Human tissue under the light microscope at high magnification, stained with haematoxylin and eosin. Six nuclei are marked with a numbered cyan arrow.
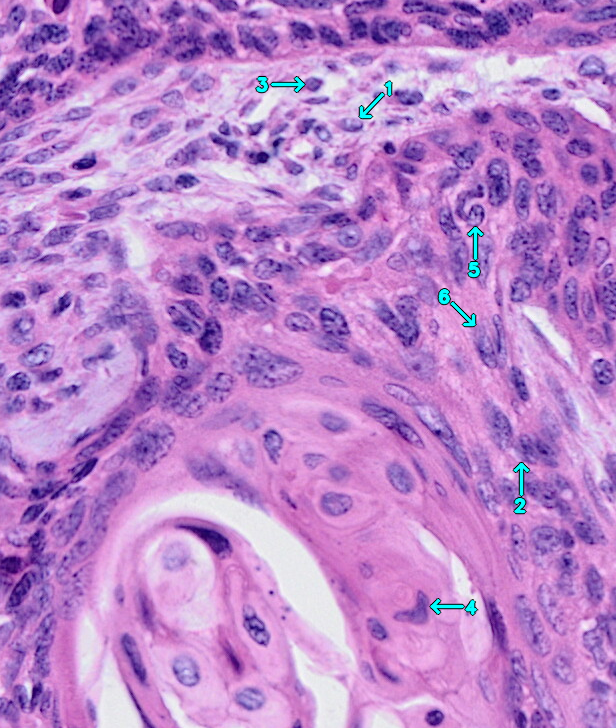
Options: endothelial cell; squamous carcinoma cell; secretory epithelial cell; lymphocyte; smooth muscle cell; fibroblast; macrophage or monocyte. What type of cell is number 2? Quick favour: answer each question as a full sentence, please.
The one numbered 2 among the marked cells is a squamous carcinoma cell.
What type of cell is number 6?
The cell referred to as 6 is a squamous carcinoma cell.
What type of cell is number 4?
The cell given label 4 is a squamous carcinoma cell.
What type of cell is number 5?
The cell identified by number 5 is a squamous carcinoma cell.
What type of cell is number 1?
The expected answer is that cell 1 is a fibroblast.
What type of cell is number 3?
The cell carrying label 3 is identified as a fibroblast.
